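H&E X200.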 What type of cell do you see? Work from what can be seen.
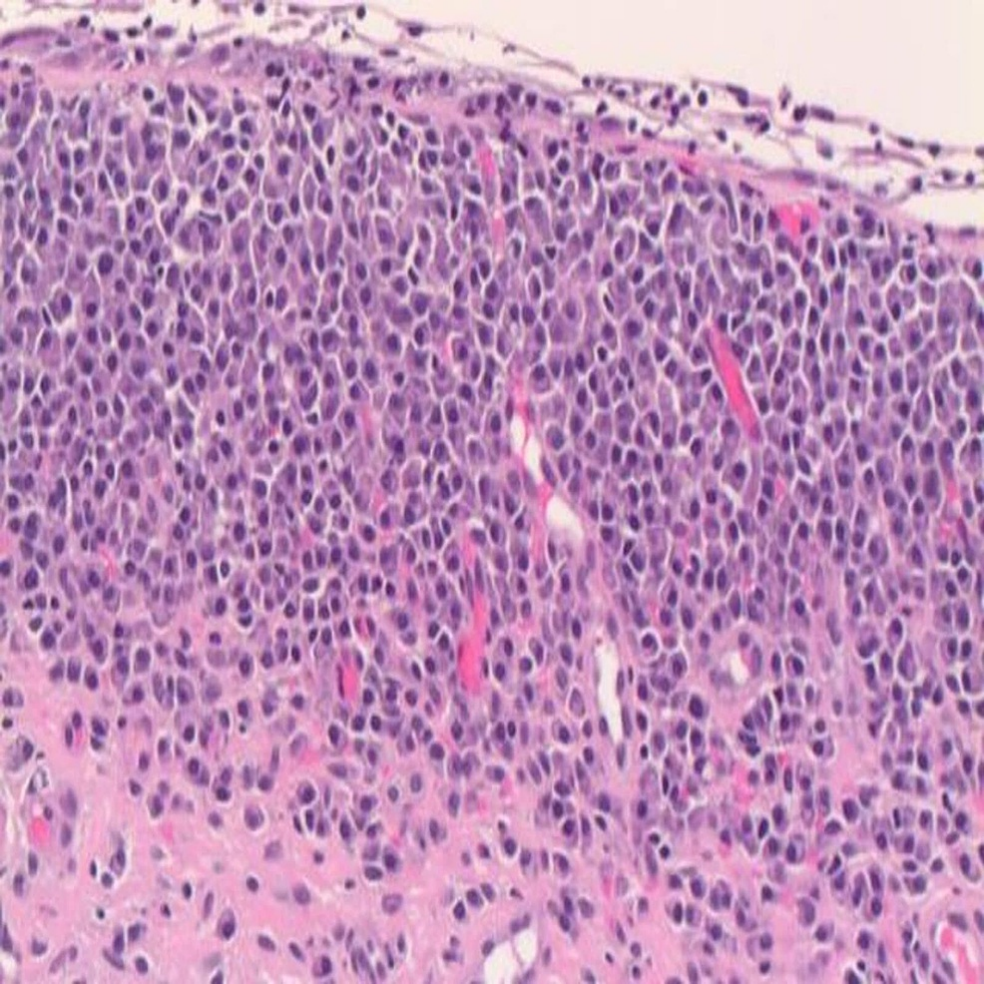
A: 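A dense sheet of round to oval cells fills most of the field beneath the surface. The cells have round, dark nuclei set off-centre in a rim of purple cytoplasm. The cells are of fairly even size and crowd together with little stroma between them. On this evidence: mature plasma cell.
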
